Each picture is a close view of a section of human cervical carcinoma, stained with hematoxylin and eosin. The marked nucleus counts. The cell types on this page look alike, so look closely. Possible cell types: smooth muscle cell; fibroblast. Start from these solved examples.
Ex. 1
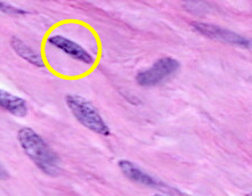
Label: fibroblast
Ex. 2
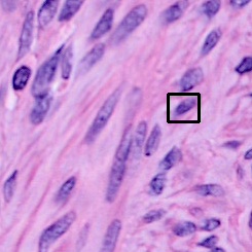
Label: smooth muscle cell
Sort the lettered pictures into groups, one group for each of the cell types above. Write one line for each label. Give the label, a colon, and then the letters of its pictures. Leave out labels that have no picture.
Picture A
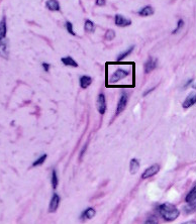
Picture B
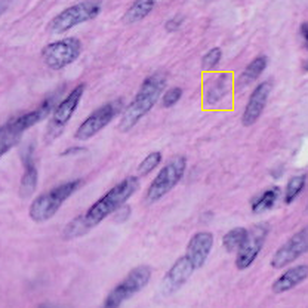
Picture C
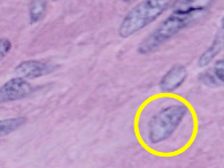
smooth muscle cell: A, B, C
